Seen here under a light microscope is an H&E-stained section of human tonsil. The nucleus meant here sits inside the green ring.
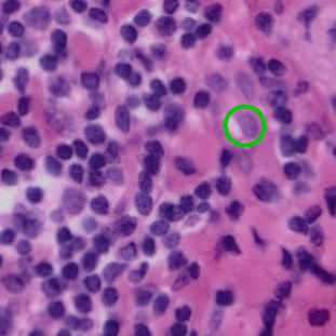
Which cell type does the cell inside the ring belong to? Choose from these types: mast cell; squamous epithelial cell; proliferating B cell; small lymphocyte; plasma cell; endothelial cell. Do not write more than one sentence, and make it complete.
In this section, the cell inside the ring is an endothelial cell.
